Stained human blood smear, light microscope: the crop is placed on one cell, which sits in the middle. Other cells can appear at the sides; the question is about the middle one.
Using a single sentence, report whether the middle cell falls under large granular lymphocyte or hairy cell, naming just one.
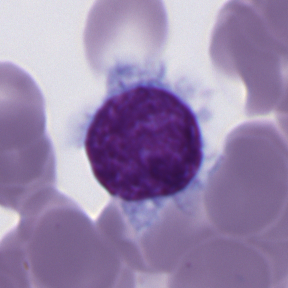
Answering briefly, the cell in the middle is a hairy cell.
